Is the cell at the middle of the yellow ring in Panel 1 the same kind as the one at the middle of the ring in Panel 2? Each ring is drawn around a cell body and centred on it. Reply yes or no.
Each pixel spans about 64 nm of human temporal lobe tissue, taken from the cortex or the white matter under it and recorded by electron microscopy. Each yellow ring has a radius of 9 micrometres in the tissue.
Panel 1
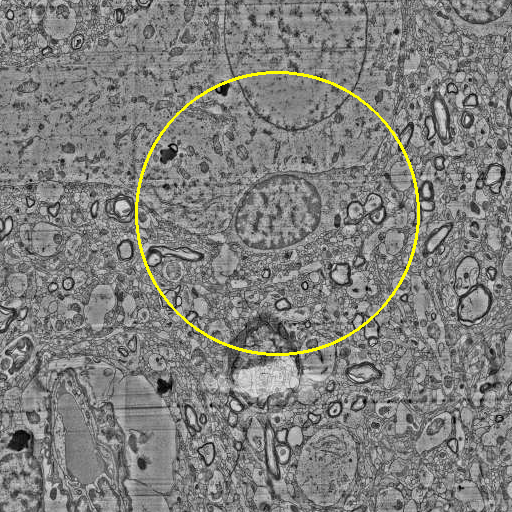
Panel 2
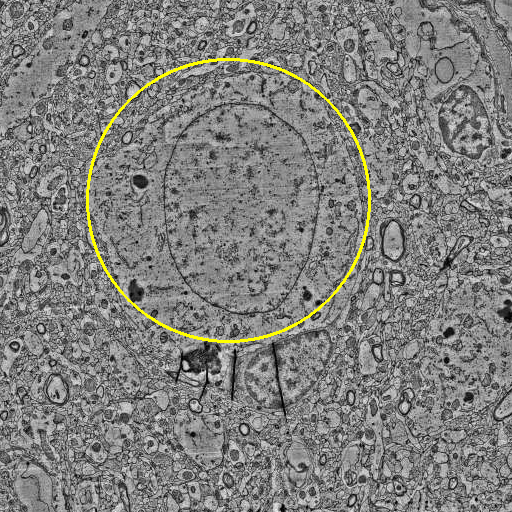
no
